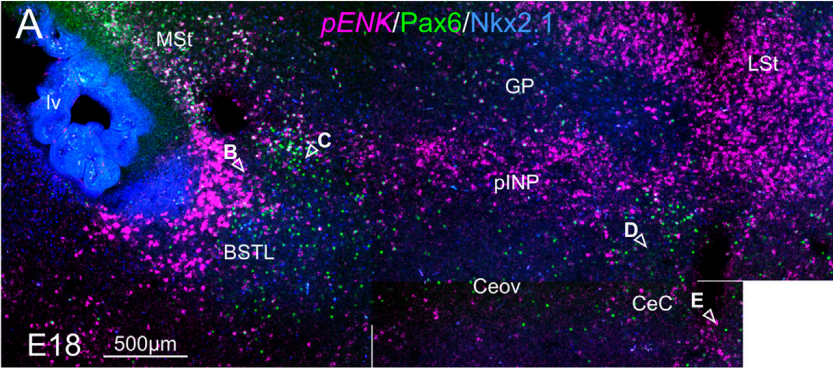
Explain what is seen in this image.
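A low-magnification frontal section through the subpallium shows the lining of the lateral ventricle at the upper left, strongly and diffusely labelled in blue. Cells labelled in magenta form dense clusters in several regions, most heavily at the upper right and in a band beside the ventricle, and as a looser band running horizontally through the middle of the section. Small green nuclei are scattered throughout, more densely in some patches between the magenta-rich regions, while faint blue nuclei are spread at low density across the tissue. The lower part of the section contains sparser magenta and green cells.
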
